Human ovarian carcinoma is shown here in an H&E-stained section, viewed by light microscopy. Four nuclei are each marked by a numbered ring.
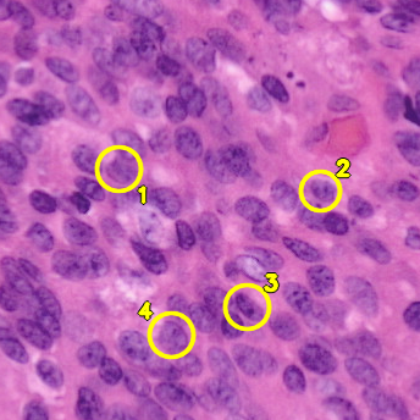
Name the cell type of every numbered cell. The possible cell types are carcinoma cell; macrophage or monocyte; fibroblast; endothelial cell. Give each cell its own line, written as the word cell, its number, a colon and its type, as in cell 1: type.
cell 1: carcinoma cell
cell 2: macrophage or monocyte
cell 3: carcinoma cell
cell 4: carcinoma cell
